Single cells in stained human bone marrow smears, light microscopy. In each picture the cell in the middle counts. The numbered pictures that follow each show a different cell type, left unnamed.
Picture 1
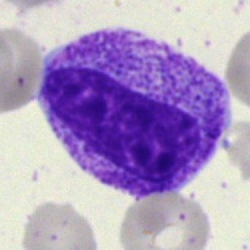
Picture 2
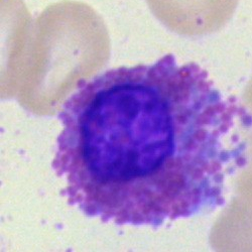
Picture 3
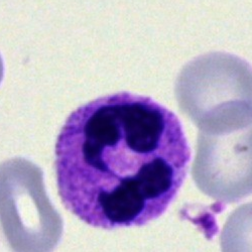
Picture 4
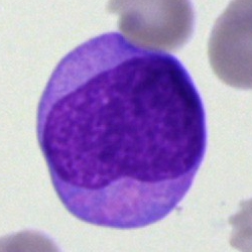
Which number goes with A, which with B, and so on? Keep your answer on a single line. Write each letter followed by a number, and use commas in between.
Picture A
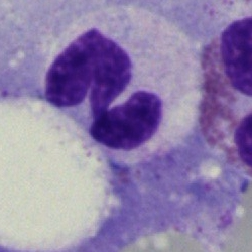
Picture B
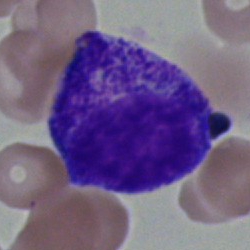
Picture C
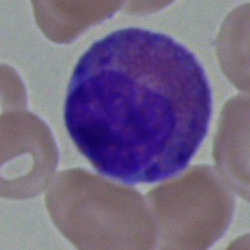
A 3, B 1, C 2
